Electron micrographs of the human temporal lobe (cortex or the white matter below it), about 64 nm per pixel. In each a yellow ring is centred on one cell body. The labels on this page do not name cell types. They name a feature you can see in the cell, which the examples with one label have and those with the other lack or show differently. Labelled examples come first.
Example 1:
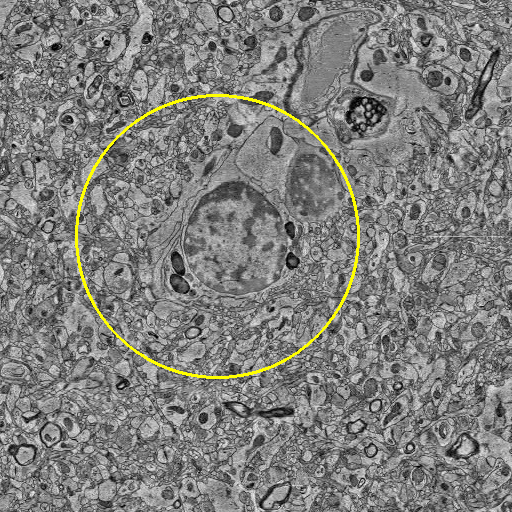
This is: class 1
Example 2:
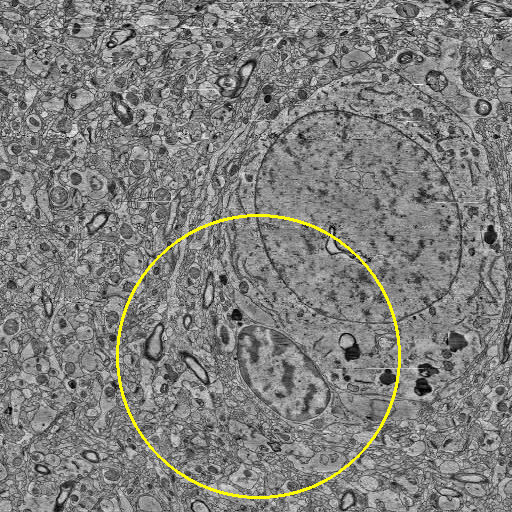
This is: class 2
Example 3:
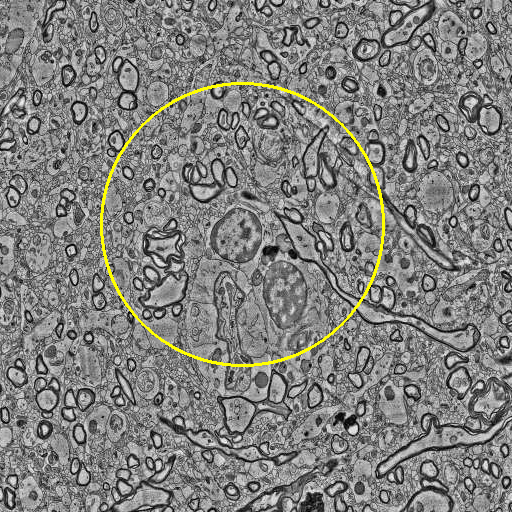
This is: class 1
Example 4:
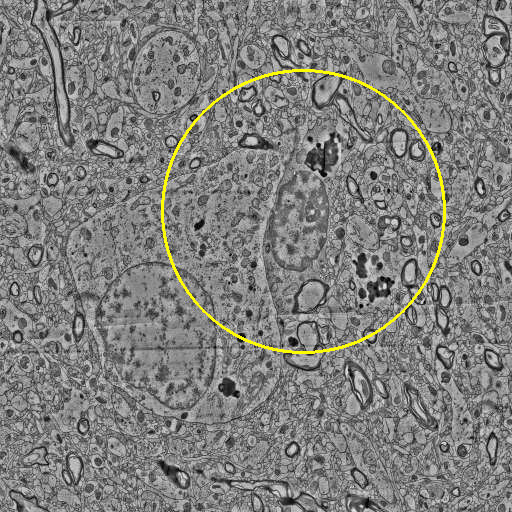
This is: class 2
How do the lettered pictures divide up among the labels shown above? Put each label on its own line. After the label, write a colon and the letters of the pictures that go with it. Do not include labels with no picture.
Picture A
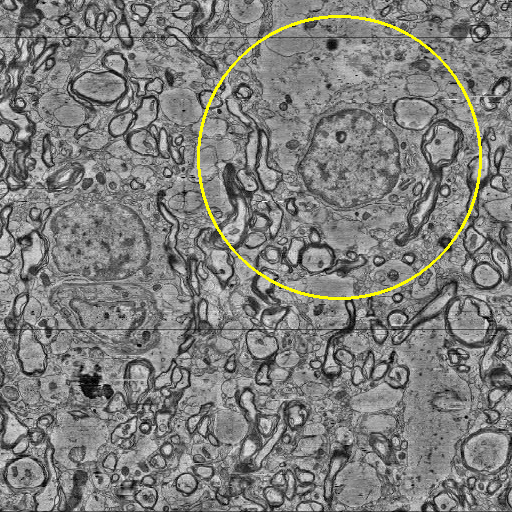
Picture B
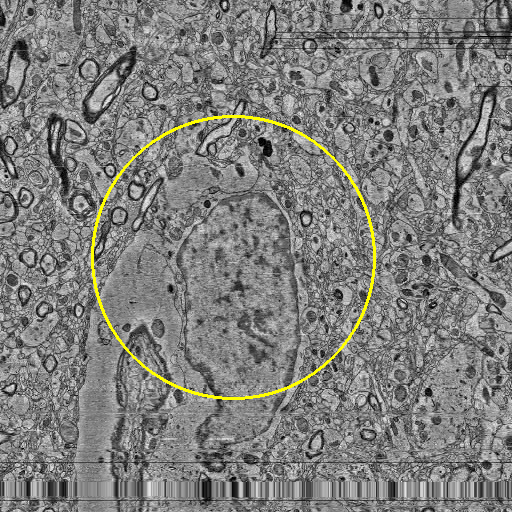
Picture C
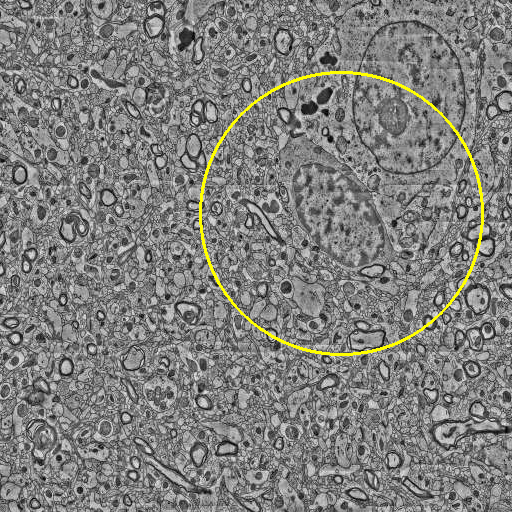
class 1: A
class 2: B, C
